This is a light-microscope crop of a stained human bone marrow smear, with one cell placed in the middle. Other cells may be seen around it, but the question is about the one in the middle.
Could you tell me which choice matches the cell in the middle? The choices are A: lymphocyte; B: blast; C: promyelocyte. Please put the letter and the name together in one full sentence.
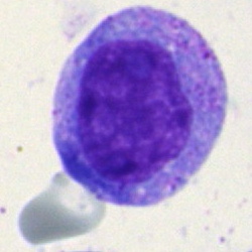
What sits in the middle of the crop is a promyelocyte, and option C is correct.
